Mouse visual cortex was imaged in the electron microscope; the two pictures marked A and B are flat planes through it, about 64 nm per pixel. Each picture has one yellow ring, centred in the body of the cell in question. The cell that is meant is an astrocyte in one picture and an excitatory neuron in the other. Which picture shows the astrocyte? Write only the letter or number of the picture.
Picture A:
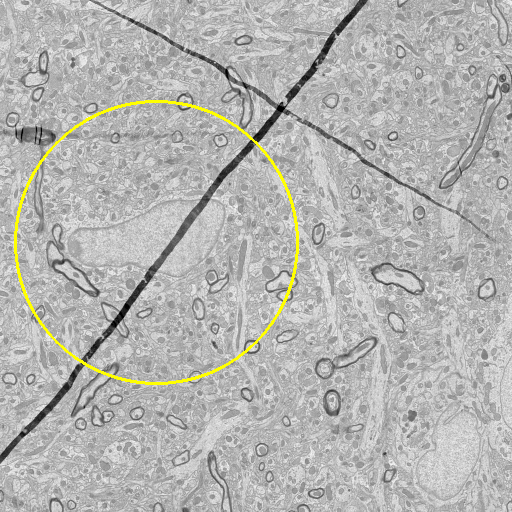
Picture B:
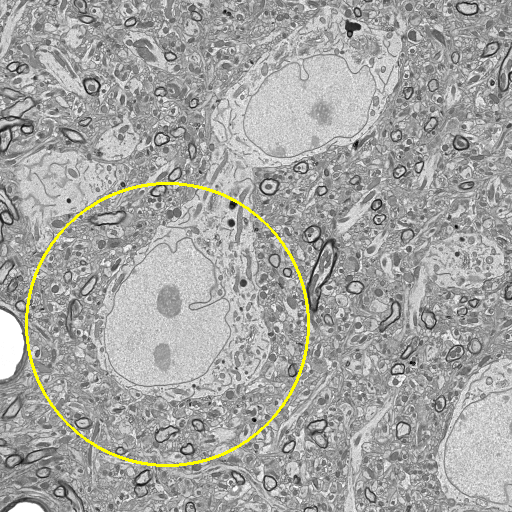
A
